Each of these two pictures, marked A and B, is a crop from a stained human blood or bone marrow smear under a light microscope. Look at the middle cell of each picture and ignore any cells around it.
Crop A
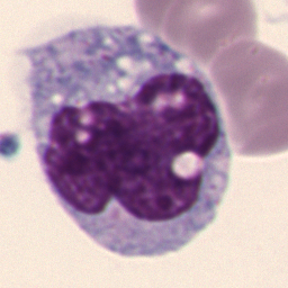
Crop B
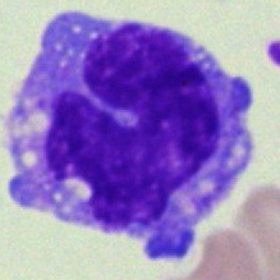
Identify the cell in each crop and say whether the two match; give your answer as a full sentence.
Yes, as an answer for this item, both crops show monocytes.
